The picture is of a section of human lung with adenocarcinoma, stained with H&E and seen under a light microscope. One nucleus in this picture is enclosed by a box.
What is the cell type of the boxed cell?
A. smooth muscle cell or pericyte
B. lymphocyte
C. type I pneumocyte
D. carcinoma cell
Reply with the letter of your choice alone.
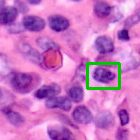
B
